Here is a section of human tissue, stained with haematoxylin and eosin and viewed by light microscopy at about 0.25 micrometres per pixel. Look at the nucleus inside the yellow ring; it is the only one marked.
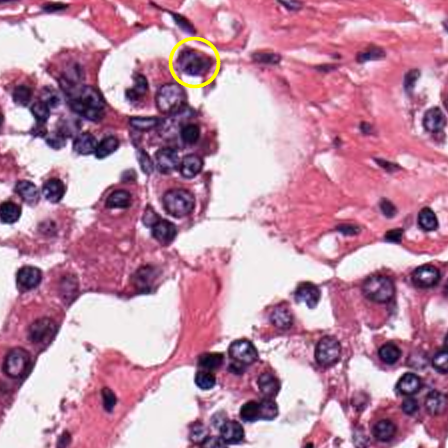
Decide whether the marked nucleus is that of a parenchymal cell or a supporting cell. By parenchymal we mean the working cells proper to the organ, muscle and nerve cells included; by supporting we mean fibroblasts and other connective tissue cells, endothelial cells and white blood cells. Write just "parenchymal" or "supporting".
parenchymal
